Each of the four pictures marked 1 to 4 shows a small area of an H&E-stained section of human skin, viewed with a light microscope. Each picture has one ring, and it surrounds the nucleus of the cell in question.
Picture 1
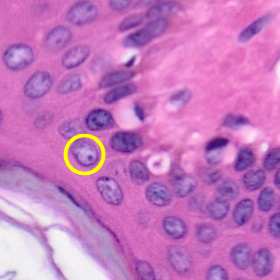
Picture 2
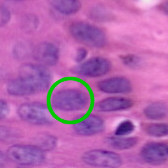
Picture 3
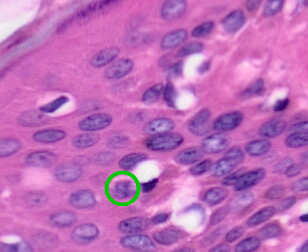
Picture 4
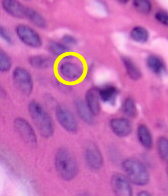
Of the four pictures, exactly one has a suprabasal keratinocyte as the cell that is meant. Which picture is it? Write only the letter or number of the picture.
1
